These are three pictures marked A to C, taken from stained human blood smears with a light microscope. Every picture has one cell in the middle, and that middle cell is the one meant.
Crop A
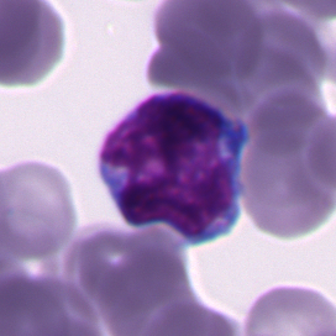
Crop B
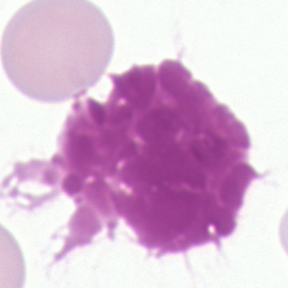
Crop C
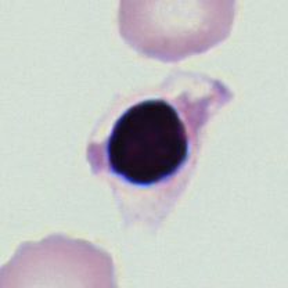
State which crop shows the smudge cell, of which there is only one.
B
